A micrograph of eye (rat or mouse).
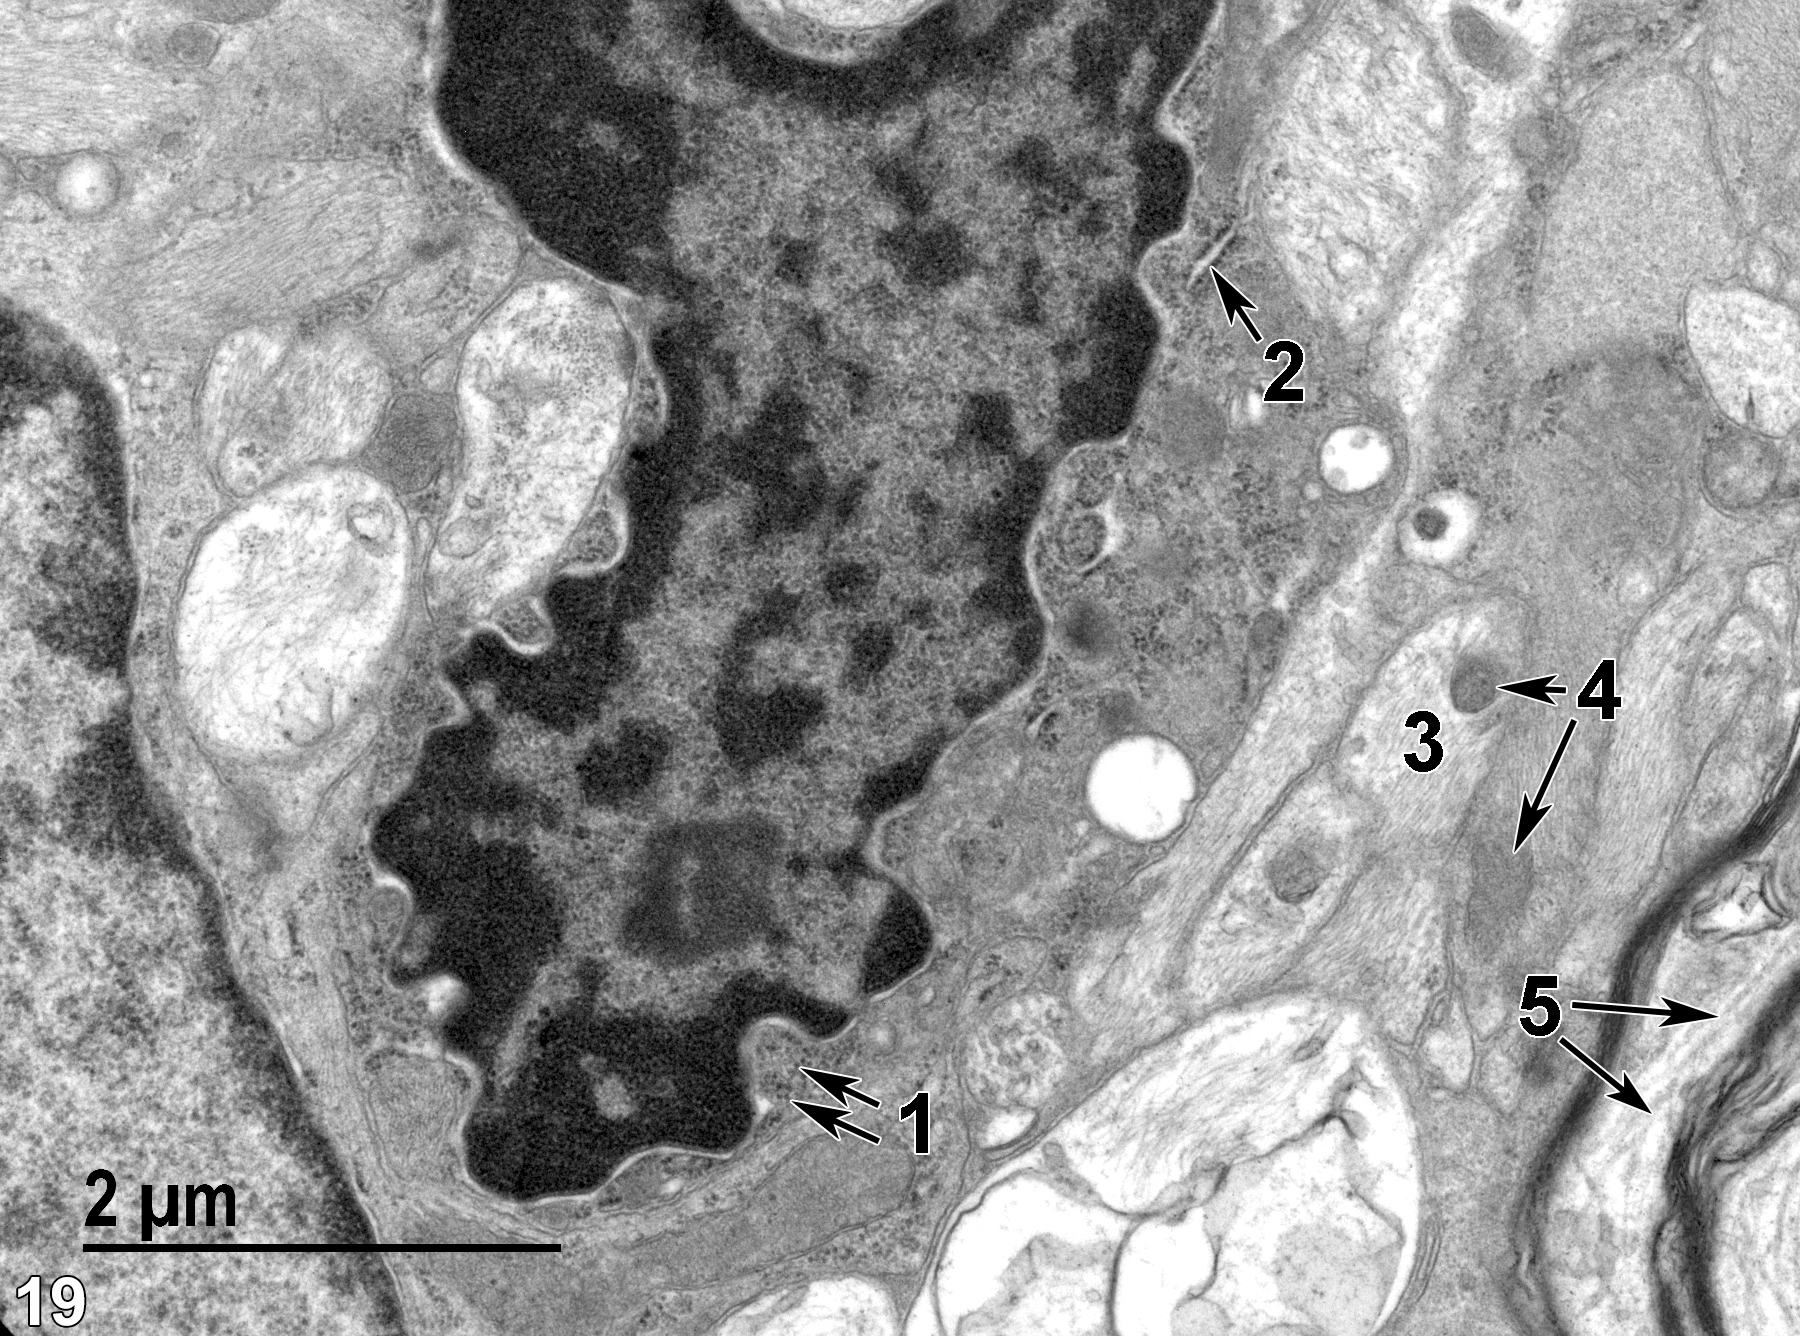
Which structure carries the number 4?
Mitochondrial profiles.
